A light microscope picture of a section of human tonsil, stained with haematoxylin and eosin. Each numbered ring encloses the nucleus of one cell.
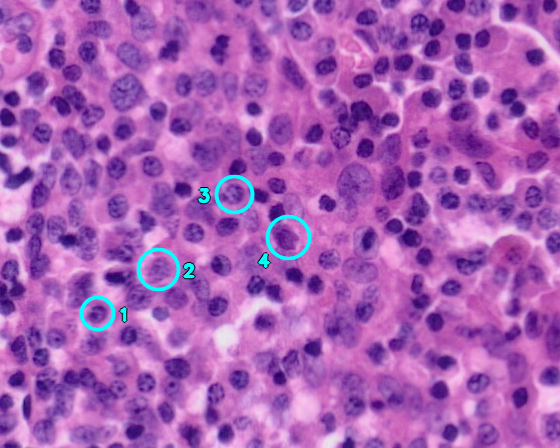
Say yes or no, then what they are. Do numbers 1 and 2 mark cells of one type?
No, cell 1 is a plasma cell and cell 2 is a squamous epithelial cell.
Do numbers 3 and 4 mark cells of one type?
No, cell 3 is a plasma cell and cell 4 is a squamous epithelial cell.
